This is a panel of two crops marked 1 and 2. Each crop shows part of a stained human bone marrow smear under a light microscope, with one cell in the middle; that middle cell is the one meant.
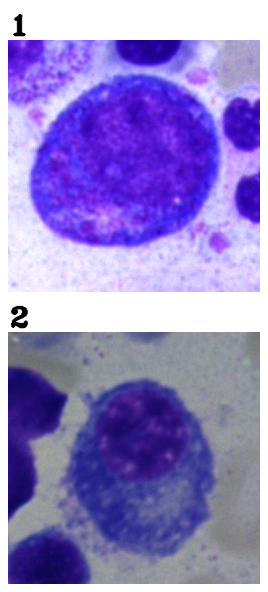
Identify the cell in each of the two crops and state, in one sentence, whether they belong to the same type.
No, the cell that crop 1 shows is a promyelocyte, and the one crop 2 shows is a plasma cell.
